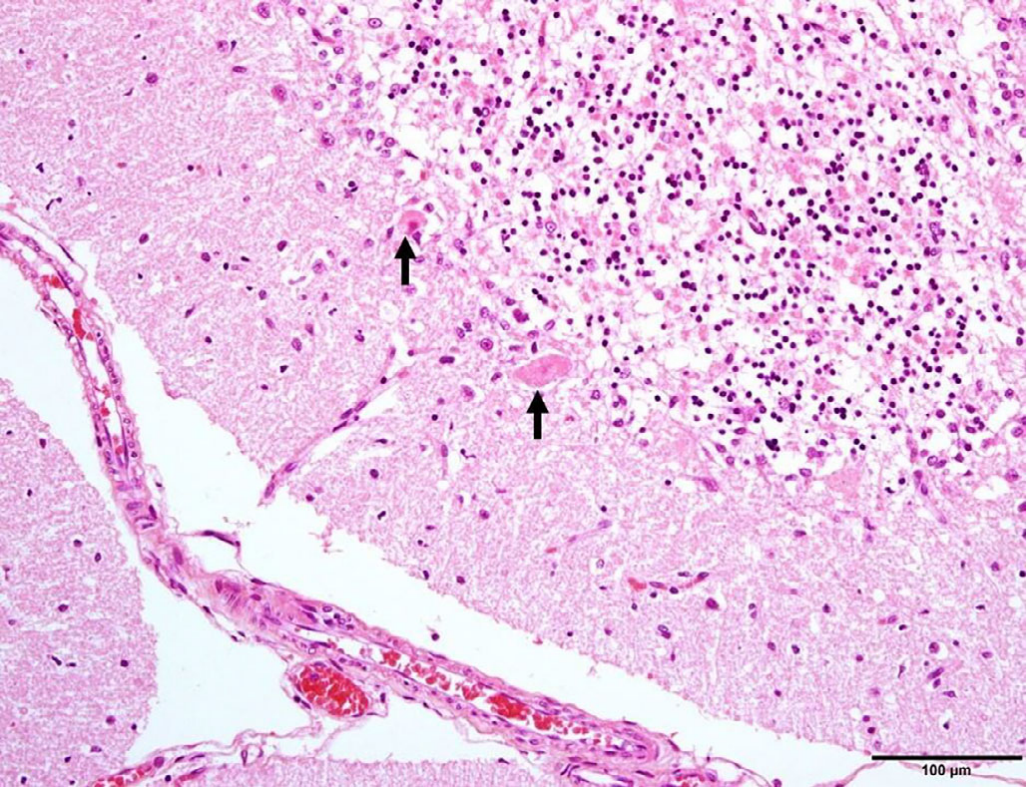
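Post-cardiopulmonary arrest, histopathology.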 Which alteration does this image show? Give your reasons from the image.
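The densely nucleated layer at upper right has many clear empty spaces. Its small round nuclei are sparse in places.
Conclusion: vacuolation of the granular layer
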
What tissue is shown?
Cerebellum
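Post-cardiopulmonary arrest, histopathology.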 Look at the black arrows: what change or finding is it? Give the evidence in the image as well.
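Purkinje cell necrosis. The marked cells are large and sit at the border between the molecular and granular layers. Their cytoplasm is shrunken and intensely pink. No clear nucleus is seen in the marked cells.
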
